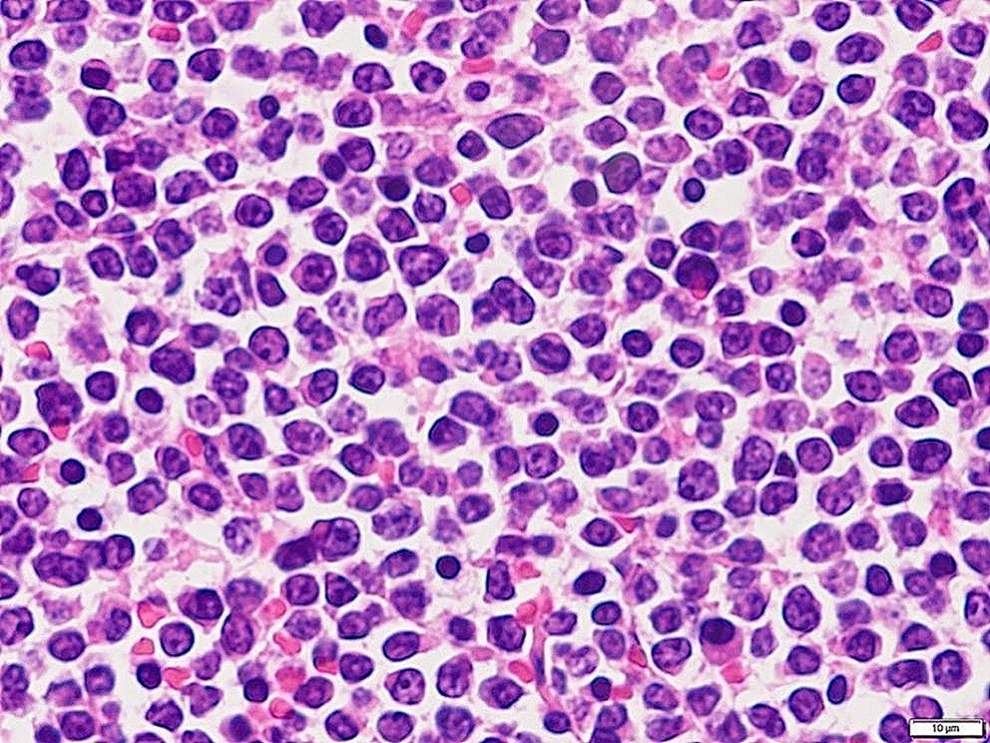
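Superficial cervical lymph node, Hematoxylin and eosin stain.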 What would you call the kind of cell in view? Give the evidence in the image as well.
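A dense, uniform sheet of round cells fills the whole field. Most cells are medium to large, with large nuclei and only a thin rim of pale cytoplasm. Nuclei vary in shape, some indented or irregular, with coarse chromatin.
Answer: neoplastic cells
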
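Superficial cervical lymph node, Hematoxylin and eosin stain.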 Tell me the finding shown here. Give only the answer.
Nuclear atypia.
